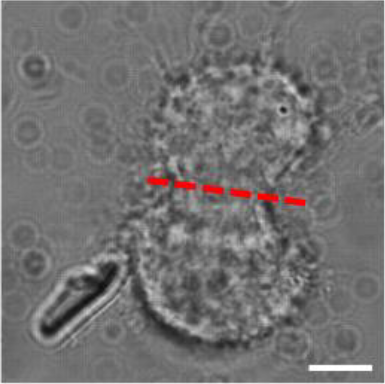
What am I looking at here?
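A rounded dividing cell is seen in unstained brightfield, pinched by a cleavage furrow into two roughly round lobes lying one above the other. The cytoplasm of both lobes is granular, and the cell outline is bordered by fine short protrusions, with an elongated refractile object lying beside the lower left of the cell.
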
